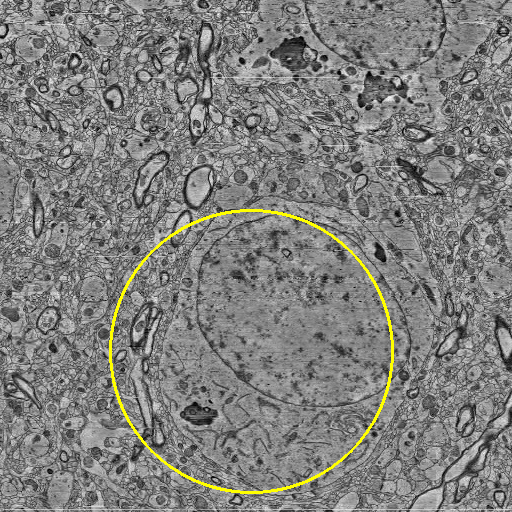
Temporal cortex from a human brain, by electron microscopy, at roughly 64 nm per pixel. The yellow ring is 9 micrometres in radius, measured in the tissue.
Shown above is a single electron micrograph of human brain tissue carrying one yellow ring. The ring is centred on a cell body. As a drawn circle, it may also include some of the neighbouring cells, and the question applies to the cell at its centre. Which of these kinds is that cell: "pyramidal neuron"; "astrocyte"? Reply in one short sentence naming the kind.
The cell marked by the ring is a pyramidal neuron.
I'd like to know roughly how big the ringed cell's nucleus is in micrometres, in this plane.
The nucleus works out at approximately 15 by 12 micrometres in this plane.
